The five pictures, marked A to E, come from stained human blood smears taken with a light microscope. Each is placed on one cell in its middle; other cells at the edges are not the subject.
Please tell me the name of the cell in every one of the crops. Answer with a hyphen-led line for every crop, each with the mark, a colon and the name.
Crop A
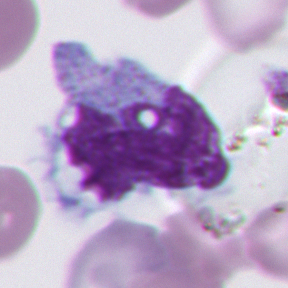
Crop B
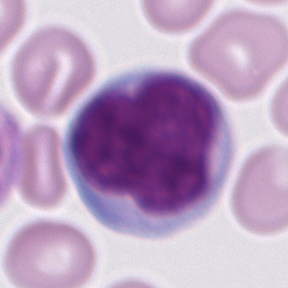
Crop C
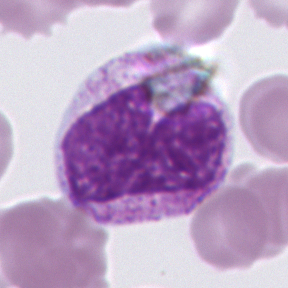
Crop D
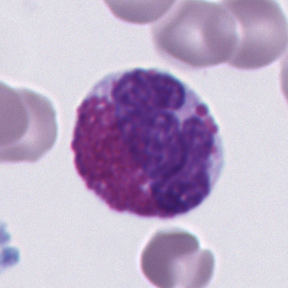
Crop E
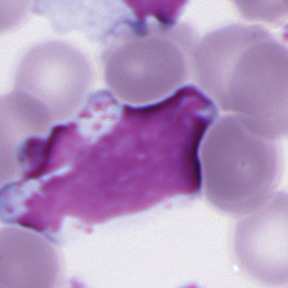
- A: monocyte
- B: monocyte
- C: band neutrophil
- D: eosinophil
- E: large granular lymphocyte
